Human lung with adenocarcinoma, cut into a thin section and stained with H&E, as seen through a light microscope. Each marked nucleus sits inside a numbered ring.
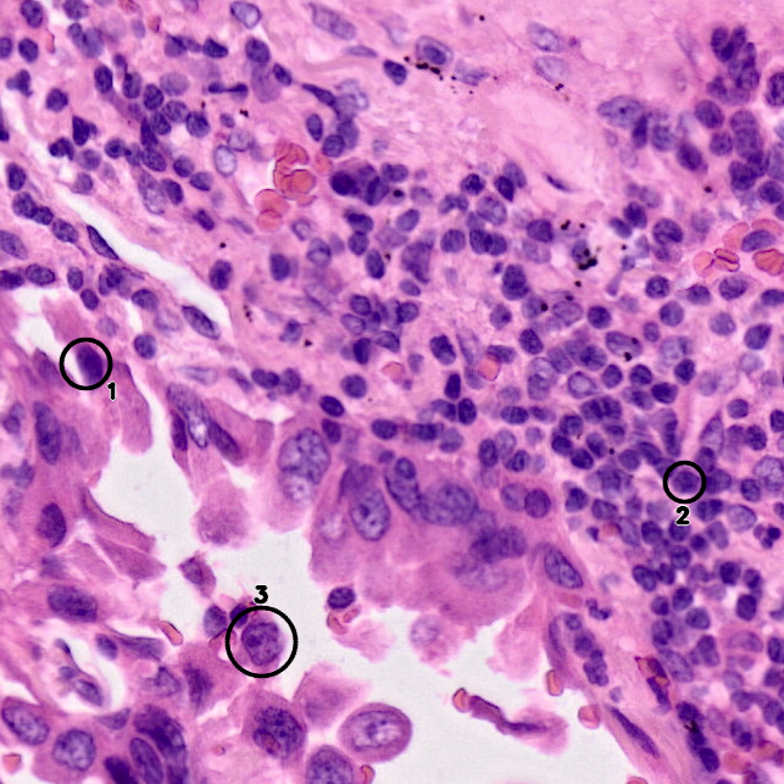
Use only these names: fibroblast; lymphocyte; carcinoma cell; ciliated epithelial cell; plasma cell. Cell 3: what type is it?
carcinoma cell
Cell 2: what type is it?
lymphocyte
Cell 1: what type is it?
carcinoma cell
